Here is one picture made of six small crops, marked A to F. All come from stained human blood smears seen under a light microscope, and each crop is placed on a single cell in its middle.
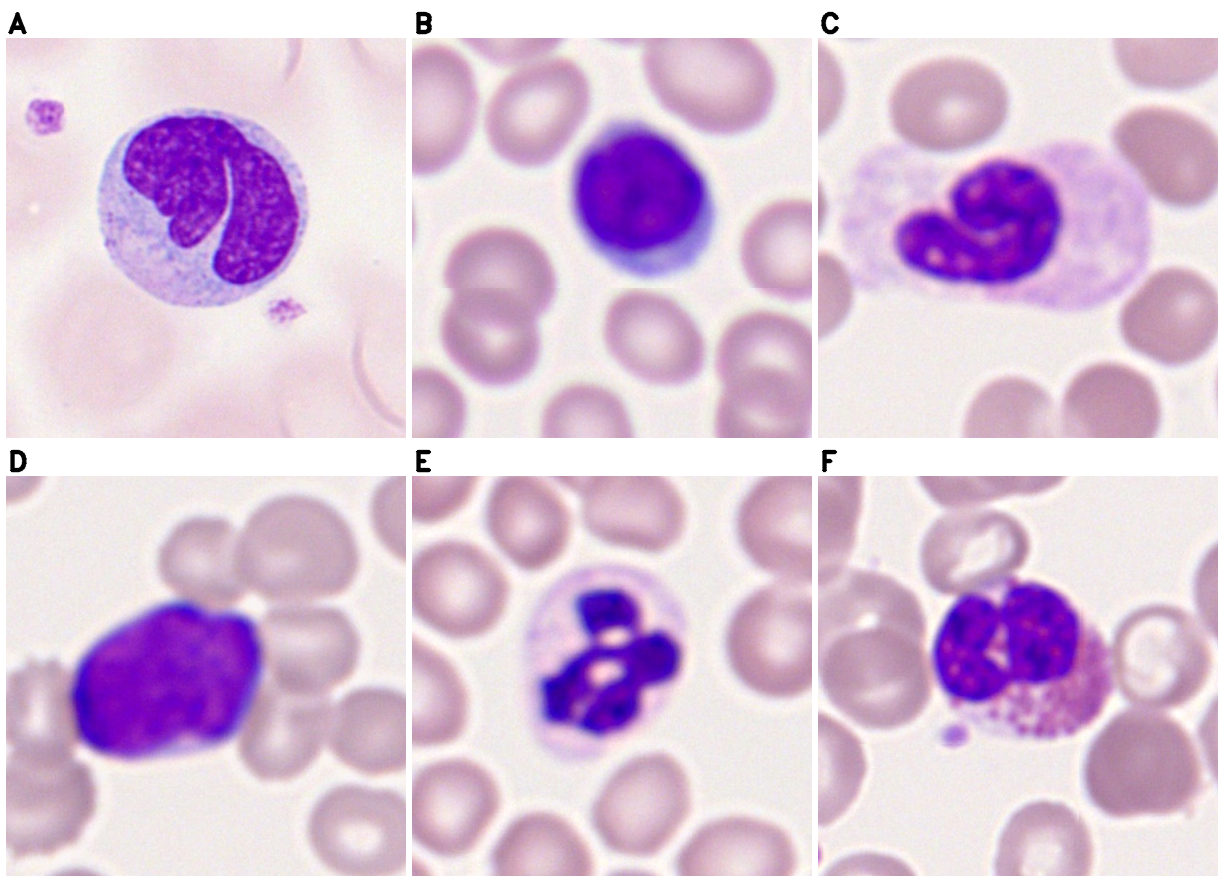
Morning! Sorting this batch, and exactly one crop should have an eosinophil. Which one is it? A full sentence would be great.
It is the cell in crop F that is an eosinophil.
